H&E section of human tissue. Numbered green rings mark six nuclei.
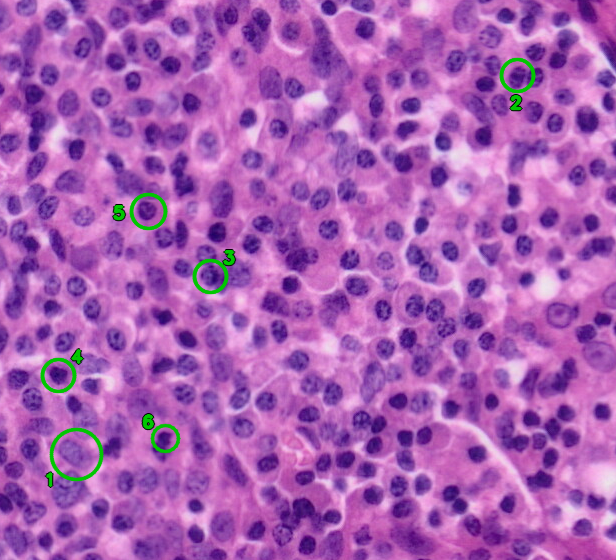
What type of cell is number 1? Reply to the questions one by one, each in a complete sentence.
The nucleus marked 1 is the nucleus of a squamous epithelial cell.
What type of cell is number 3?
The nucleus with number 3 is that of a plasma cell.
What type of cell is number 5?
Recognised here as a plasma cell is the cell numbered 5.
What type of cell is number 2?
Regarding cell 2, this one is a plasma cell.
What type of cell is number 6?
The expected answer is that cell 6 is a squamous epithelial cell.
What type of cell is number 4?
The cell identified by the number 4 is a plasma cell.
